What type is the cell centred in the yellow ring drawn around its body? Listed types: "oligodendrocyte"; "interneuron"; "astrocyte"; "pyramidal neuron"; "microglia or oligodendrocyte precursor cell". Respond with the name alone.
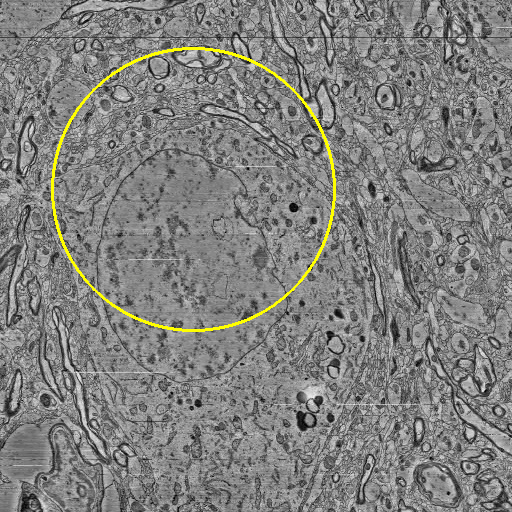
pyramidal neuron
